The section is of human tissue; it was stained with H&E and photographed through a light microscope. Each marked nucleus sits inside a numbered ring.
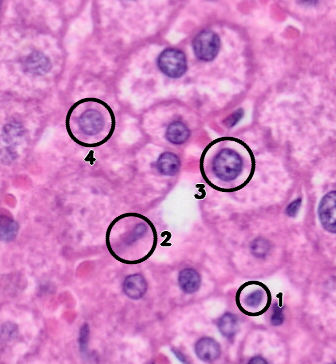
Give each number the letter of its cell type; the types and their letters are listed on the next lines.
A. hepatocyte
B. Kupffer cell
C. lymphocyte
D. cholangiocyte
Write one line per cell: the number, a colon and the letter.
1: C
2: B
3: A
4: A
